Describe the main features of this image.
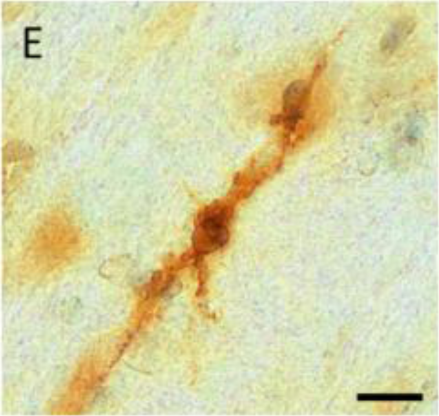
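White matter with brown-stained rod-shaped microglia aligned along the fibre direction. Short side branches arise from the cell body and processes. Other nuclei in the surrounding pale tissue are unstained and appear blue-grey.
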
